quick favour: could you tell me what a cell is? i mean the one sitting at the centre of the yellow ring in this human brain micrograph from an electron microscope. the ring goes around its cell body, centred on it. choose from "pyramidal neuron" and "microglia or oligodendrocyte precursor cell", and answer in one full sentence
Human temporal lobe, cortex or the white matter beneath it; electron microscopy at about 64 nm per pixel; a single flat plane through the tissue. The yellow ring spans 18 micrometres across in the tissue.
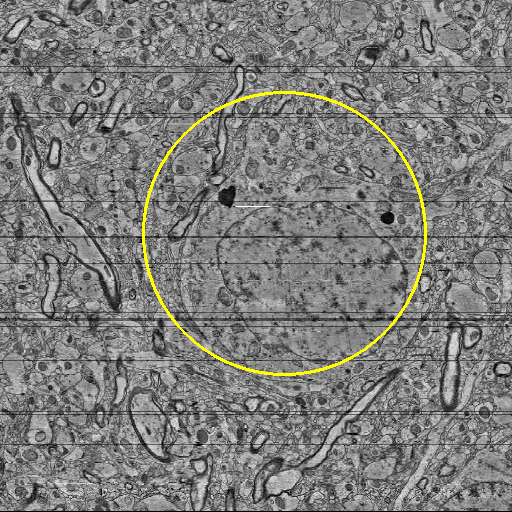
That's a pyramidal neuron, the cell sitting at the centre of the yellow ring.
